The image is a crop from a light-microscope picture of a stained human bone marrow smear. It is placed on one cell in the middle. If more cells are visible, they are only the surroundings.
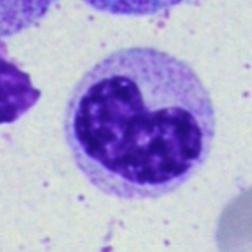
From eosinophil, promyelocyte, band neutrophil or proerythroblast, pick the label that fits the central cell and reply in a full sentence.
The cell occupying the middle of the crop is a band neutrophil.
